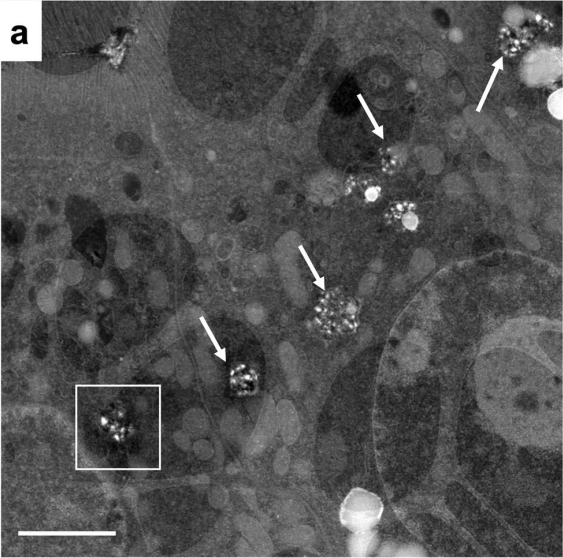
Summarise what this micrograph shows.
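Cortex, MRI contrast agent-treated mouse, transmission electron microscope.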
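A low-magnification electron micrograph of renal tubular cells, in which electron-dense material appears bright. Scattered through the cytoplasm are rounded clusters of bright, granular particles, each cluster made of many small points, and several such clusters are spread across different cells. A few larger, smooth bright bodies lie near the edges of the field. Cell boundaries run as faint curved lines between the cells.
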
